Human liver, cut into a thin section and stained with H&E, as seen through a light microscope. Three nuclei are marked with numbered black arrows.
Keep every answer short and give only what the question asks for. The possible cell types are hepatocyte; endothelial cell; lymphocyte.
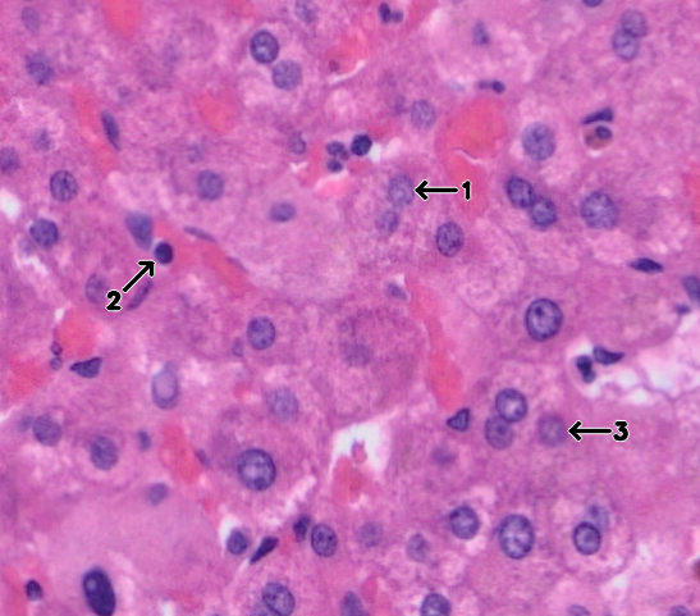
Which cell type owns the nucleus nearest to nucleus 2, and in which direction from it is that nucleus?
an endothelial cell above and to the left of nucleus 2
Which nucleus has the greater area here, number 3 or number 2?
3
